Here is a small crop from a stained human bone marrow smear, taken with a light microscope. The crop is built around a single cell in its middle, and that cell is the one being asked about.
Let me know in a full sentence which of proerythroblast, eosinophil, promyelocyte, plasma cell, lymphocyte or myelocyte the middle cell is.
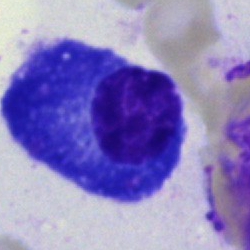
The centrally located cell in the crop is a plasma cell.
